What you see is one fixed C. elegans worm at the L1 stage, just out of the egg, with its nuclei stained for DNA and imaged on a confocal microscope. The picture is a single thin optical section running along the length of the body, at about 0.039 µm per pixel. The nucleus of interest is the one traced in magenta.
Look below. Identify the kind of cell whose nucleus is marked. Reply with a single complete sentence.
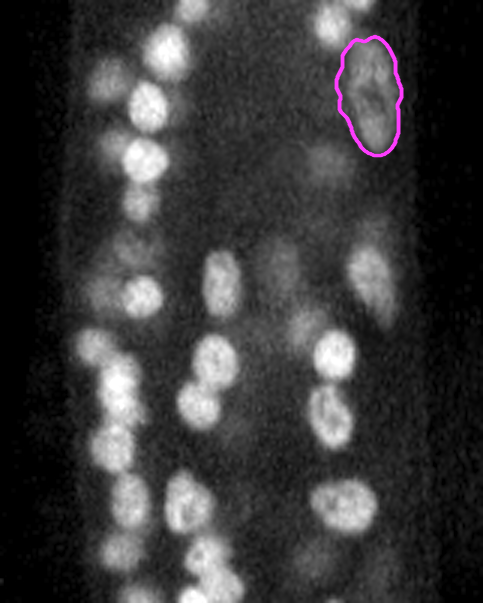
The marked nucleus is that of a hypodermal cell (hyp).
